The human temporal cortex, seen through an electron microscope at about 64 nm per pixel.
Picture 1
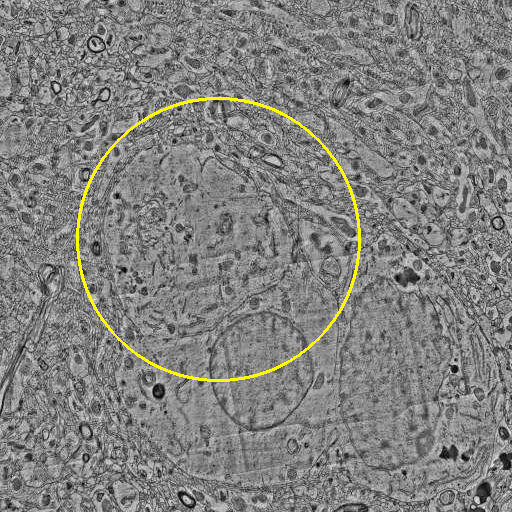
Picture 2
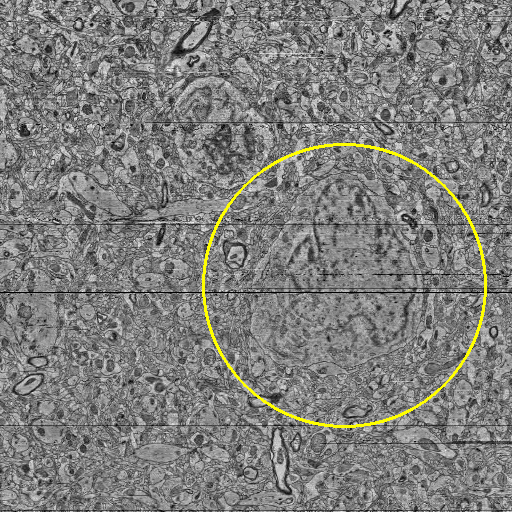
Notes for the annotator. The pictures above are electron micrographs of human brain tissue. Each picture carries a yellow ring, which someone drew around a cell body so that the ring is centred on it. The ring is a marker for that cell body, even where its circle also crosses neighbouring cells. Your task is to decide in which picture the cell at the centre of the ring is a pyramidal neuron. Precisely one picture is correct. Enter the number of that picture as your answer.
1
